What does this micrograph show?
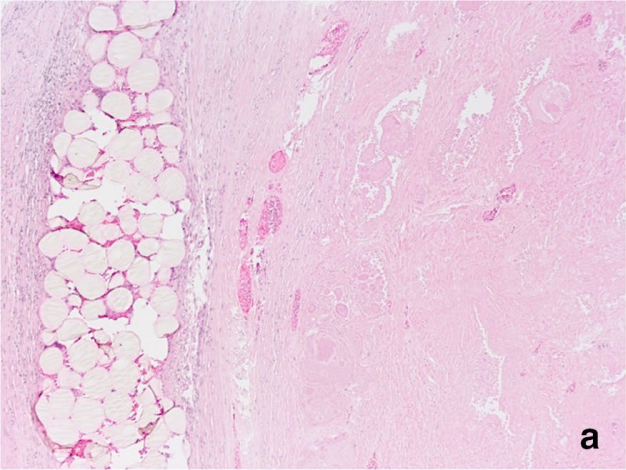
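A vertical band at the left is packed with round, clear spheres of fairly even size, with thin pink material between them. To its right, a thin cellular rim gives way to a wide field of pale pink tissue in which nuclei are almost absent and only ghostly outlines and small clefts remain. A few small red-filled vessels lie along the border.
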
